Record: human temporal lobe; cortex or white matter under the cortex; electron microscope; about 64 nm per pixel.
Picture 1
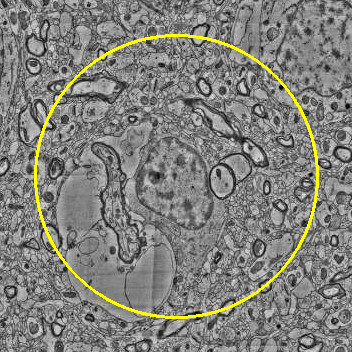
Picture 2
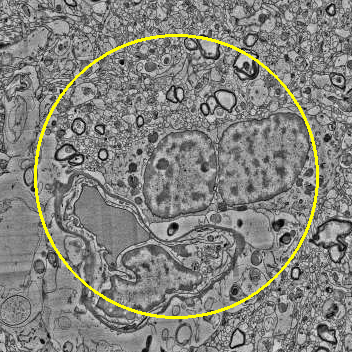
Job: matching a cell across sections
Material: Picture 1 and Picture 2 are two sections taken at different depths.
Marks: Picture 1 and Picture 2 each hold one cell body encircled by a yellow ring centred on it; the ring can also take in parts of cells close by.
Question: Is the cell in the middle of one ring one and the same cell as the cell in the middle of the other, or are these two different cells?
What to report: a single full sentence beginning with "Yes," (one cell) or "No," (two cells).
No, the two rings enclose two cells that are not the same.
